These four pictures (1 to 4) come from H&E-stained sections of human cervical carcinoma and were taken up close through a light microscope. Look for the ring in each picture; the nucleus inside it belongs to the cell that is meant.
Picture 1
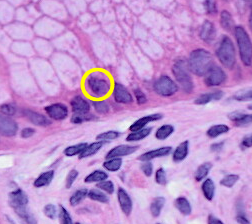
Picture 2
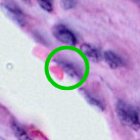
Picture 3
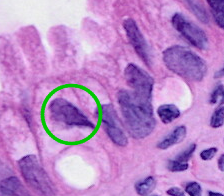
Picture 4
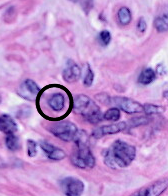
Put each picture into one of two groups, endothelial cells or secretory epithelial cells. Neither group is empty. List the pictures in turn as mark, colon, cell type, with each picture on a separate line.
1: secretory epithelial cell
2: endothelial cell
3: secretory epithelial cell
4: endothelial cell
